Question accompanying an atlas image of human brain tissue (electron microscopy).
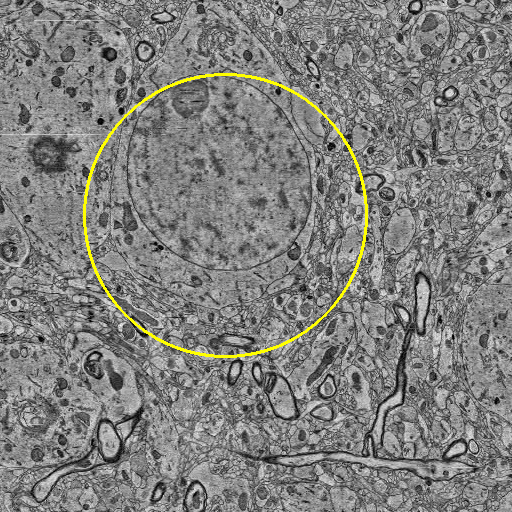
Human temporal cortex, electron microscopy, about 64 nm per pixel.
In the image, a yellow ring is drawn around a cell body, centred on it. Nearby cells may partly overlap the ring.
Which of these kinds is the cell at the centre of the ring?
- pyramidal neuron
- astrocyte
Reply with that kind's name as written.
pyramidal neuron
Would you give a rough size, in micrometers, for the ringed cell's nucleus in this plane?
Roughly 12 micrometres across, measured in this plane.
